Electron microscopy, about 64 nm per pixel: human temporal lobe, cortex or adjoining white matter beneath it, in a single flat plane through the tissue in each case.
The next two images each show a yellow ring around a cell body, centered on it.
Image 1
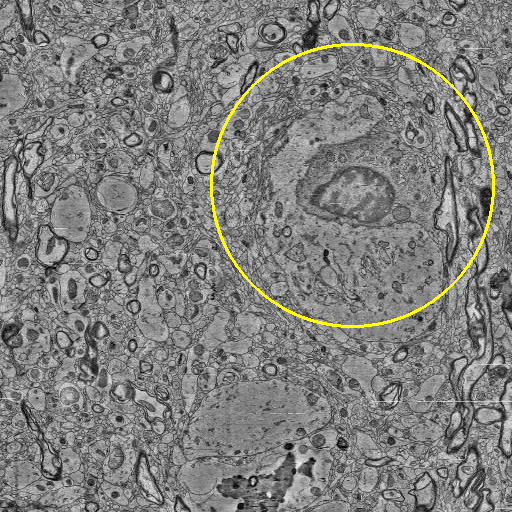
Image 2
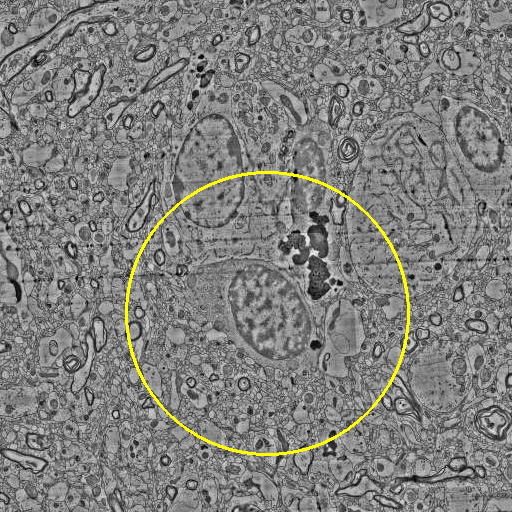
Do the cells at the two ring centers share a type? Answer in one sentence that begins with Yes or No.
Yes, across the two images the cells at the ring centers share one type.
